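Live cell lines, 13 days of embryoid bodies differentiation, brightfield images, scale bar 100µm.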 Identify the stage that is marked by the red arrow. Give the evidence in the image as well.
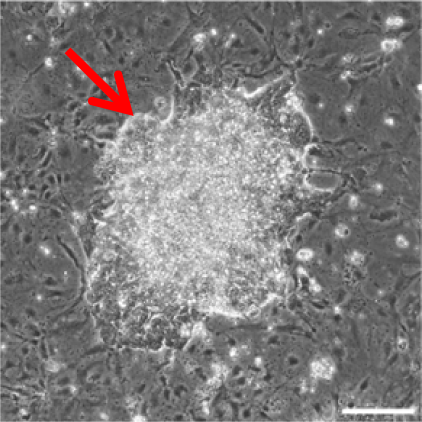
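The colony is surrounded by flat, spread-out single cells. On this evidence: Colonies retaining an undifferentiated morphology.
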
